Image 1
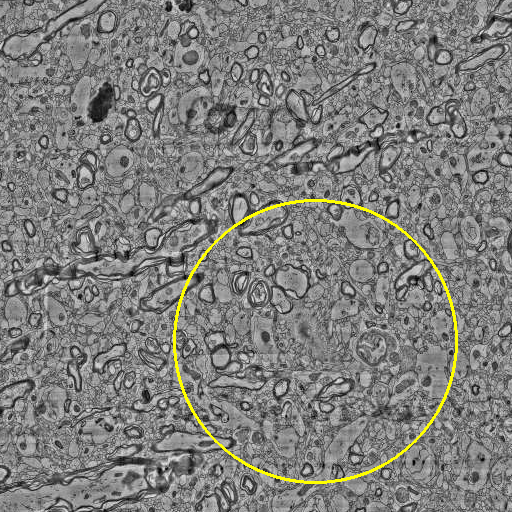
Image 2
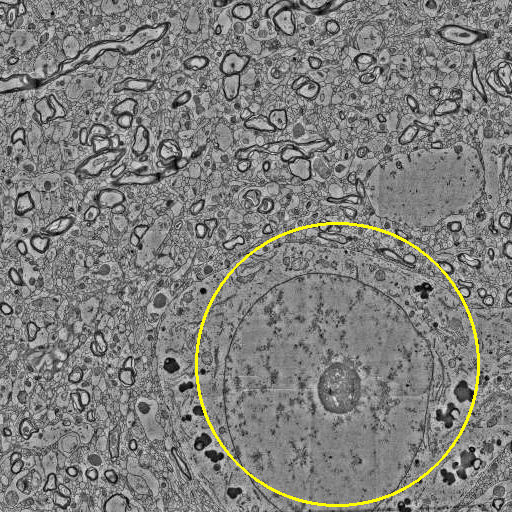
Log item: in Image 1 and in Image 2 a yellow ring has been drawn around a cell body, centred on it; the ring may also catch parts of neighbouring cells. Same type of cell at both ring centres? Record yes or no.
no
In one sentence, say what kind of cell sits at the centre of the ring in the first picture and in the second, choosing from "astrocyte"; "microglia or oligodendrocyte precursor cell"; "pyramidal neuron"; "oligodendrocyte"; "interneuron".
The first picture's ringed cell is an oligodendrocyte, while the second picture's is a pyramidal neuron.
